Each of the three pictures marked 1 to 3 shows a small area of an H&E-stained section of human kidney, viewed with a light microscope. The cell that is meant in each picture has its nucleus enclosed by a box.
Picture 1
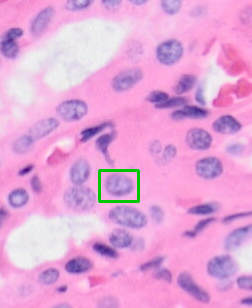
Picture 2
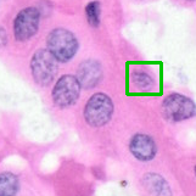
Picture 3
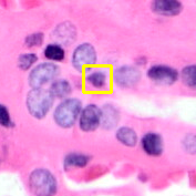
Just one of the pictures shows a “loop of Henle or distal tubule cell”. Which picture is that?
2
